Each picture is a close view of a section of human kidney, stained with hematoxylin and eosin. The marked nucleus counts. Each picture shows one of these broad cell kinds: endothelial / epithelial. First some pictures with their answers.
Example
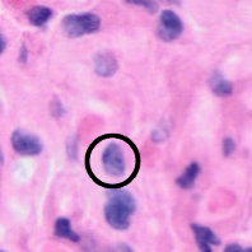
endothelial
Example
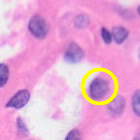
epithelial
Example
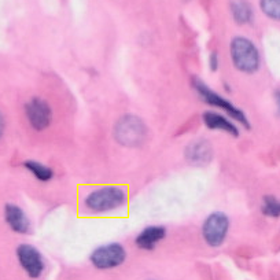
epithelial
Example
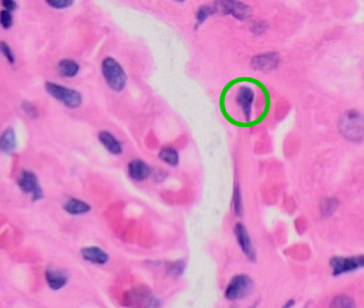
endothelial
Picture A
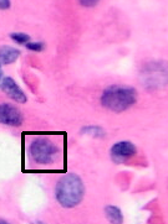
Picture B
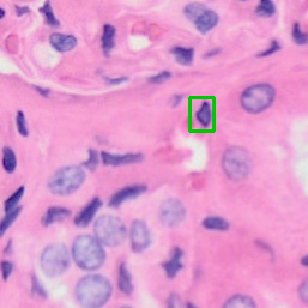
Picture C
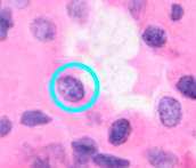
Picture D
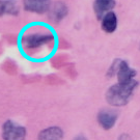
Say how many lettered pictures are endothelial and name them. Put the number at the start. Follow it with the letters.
Count: 2 (B, D)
